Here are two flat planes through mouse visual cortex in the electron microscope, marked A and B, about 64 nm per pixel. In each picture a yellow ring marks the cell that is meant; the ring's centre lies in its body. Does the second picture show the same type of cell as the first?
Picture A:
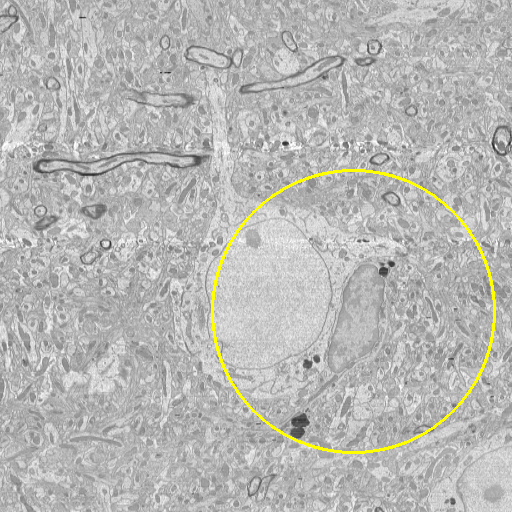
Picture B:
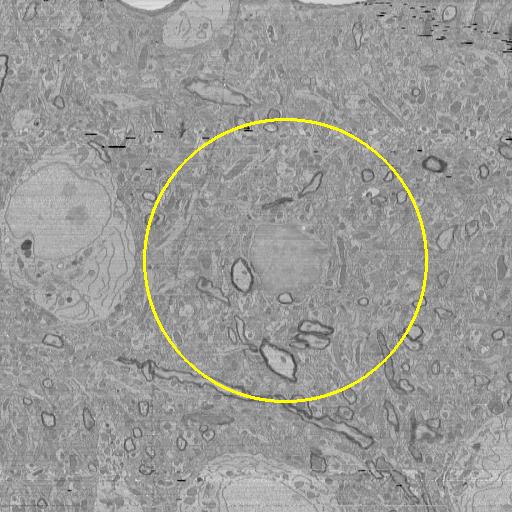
Yes, both cells are microglial cells.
